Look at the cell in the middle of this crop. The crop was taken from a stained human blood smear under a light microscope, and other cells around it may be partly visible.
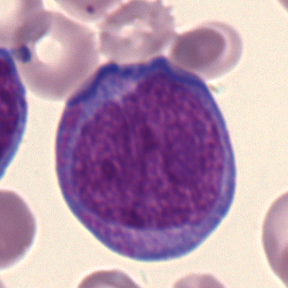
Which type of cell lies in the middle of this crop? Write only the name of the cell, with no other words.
promyelocyte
